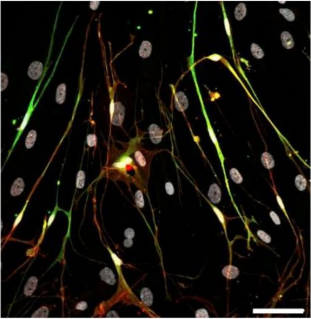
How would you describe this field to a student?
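These are cultured cells, many of which have taken on a slender Schwann cell-like form. The processes run roughly in parallel across the field and cross one another. Between them lie many unlabelled cells, seen only by their larger oval white nuclei.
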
